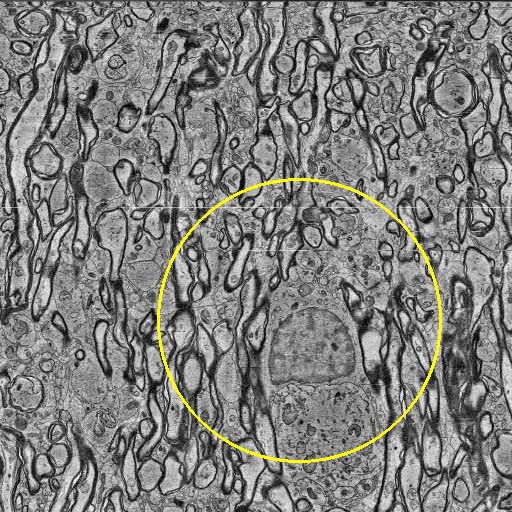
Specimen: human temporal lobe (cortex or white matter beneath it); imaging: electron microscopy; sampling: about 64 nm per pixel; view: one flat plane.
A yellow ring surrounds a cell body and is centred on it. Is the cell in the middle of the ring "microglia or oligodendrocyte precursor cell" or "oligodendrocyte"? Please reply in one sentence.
The ring is centred on an oligodendrocyte.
